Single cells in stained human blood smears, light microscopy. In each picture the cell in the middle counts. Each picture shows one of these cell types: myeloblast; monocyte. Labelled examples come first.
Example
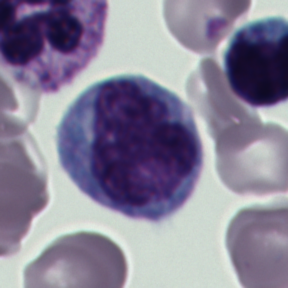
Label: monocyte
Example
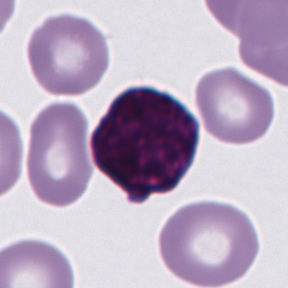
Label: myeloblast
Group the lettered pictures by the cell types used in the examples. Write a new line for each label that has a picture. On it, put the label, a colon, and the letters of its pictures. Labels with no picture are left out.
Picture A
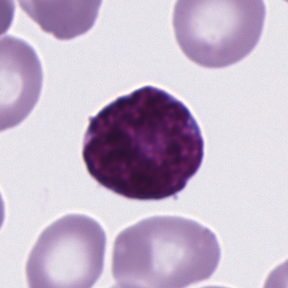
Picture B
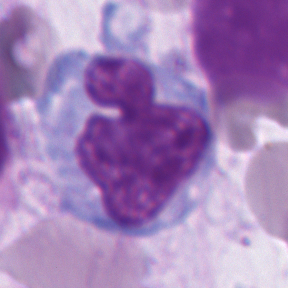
myeloblast: A
monocyte: B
